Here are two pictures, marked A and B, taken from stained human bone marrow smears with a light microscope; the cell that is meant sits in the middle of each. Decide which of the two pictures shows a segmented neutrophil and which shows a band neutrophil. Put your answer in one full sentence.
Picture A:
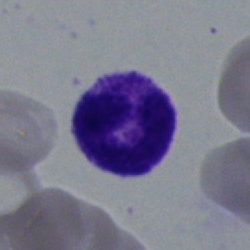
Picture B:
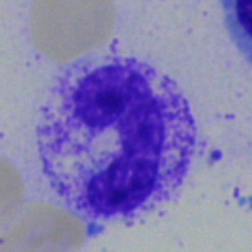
It is picture A that shows a segmented neutrophil, and picture B that shows a band neutrophil.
